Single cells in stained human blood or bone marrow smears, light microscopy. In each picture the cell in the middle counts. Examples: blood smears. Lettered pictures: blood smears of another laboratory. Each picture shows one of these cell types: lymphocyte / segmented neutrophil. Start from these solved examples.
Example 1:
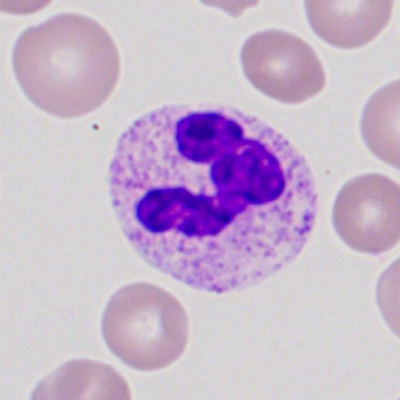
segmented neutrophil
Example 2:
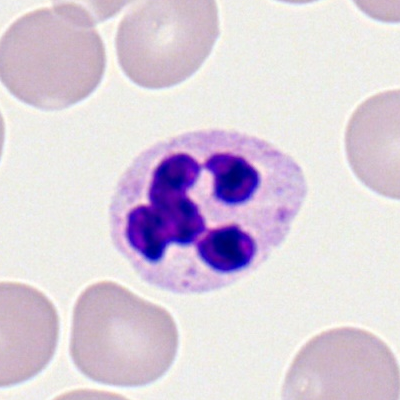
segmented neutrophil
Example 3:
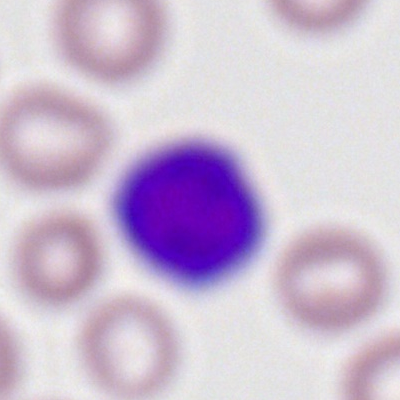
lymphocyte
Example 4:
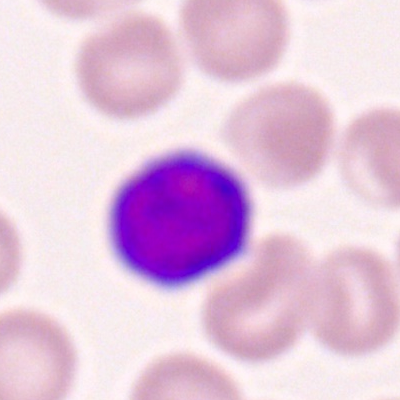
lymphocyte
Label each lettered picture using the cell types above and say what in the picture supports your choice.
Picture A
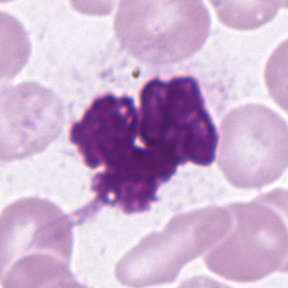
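Label: segmented neutrophil. The nucleus is divided into several irregular lobes that remain joined together.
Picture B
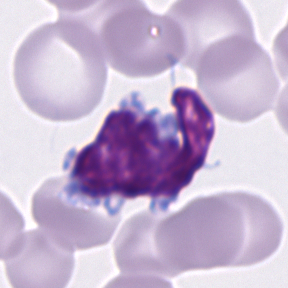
Label: lymphocyte. The cytoplasm is a scant, pale blue, patchy rim around the nucleus.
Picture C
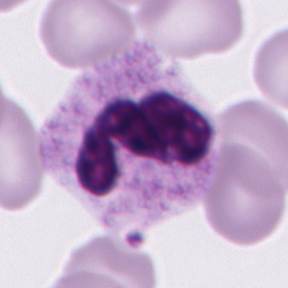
Label: segmented neutrophil. The cytoplasm is pale pinkish-lilac rather than blue.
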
